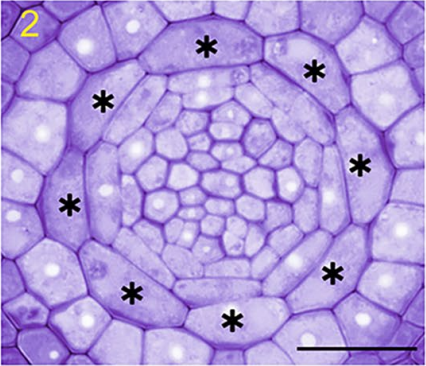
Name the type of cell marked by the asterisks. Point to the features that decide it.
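Cortical cells. The marked cells form one ring of large cells around the central cylinder. Outer cell layers lie outside the marked ring.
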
